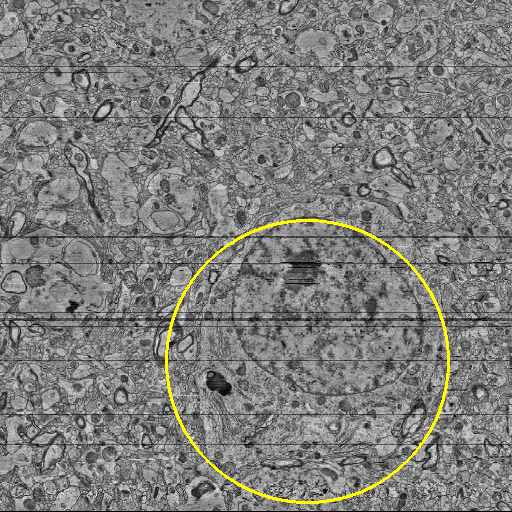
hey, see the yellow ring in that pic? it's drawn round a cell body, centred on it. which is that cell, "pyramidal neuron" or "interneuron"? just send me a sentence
The cell in the ring is an interneuron.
